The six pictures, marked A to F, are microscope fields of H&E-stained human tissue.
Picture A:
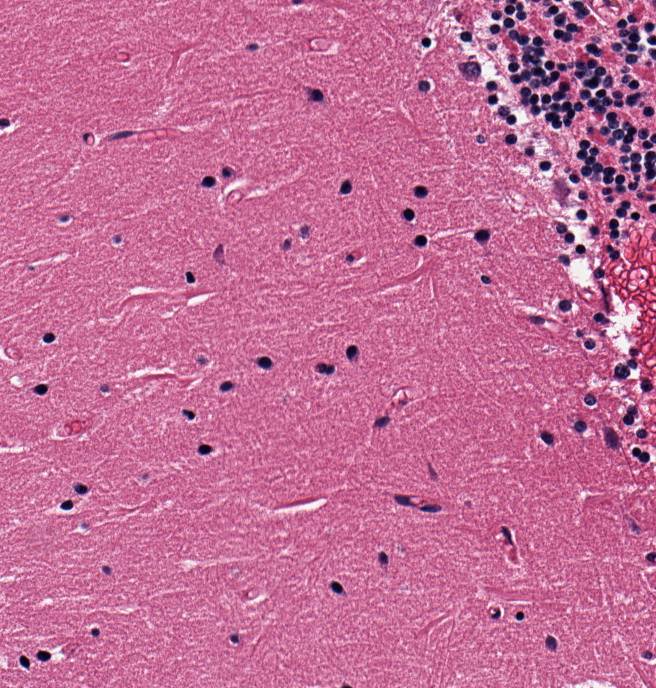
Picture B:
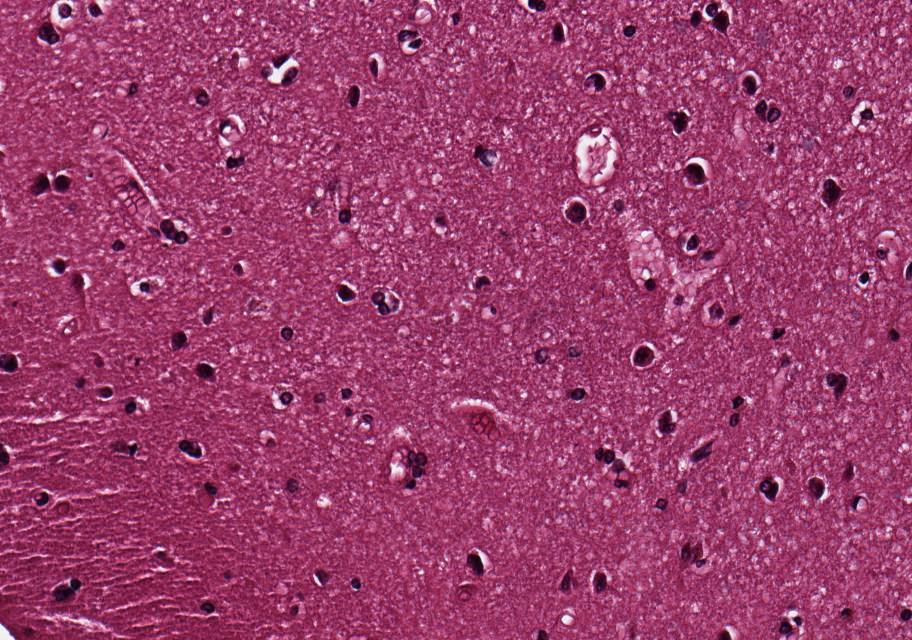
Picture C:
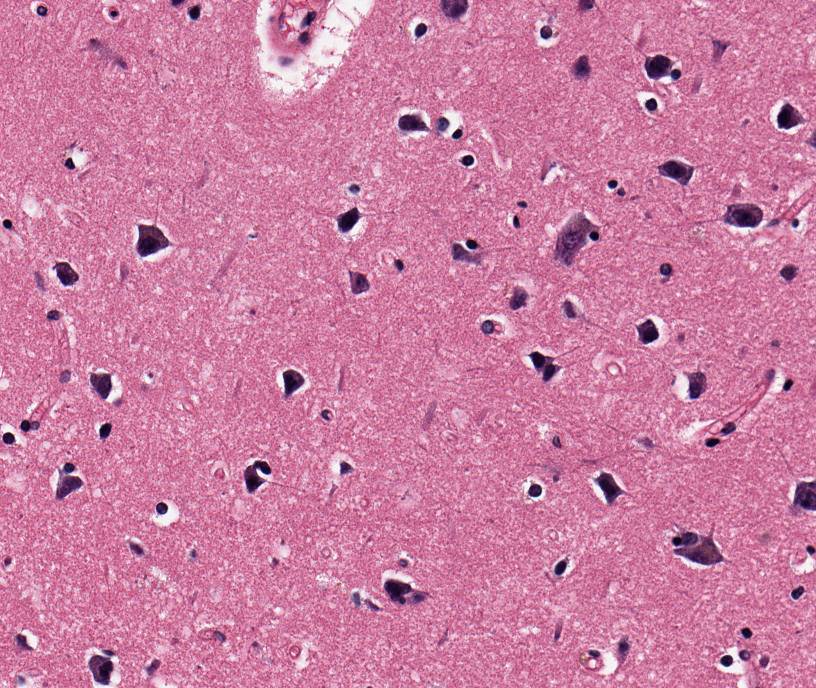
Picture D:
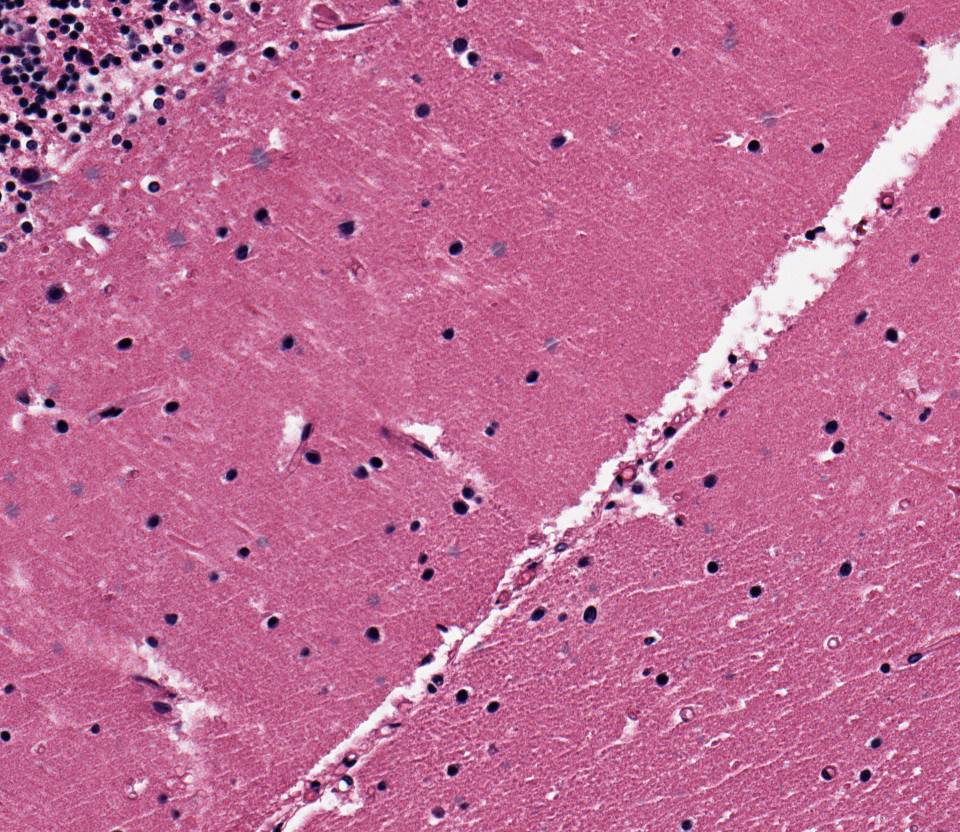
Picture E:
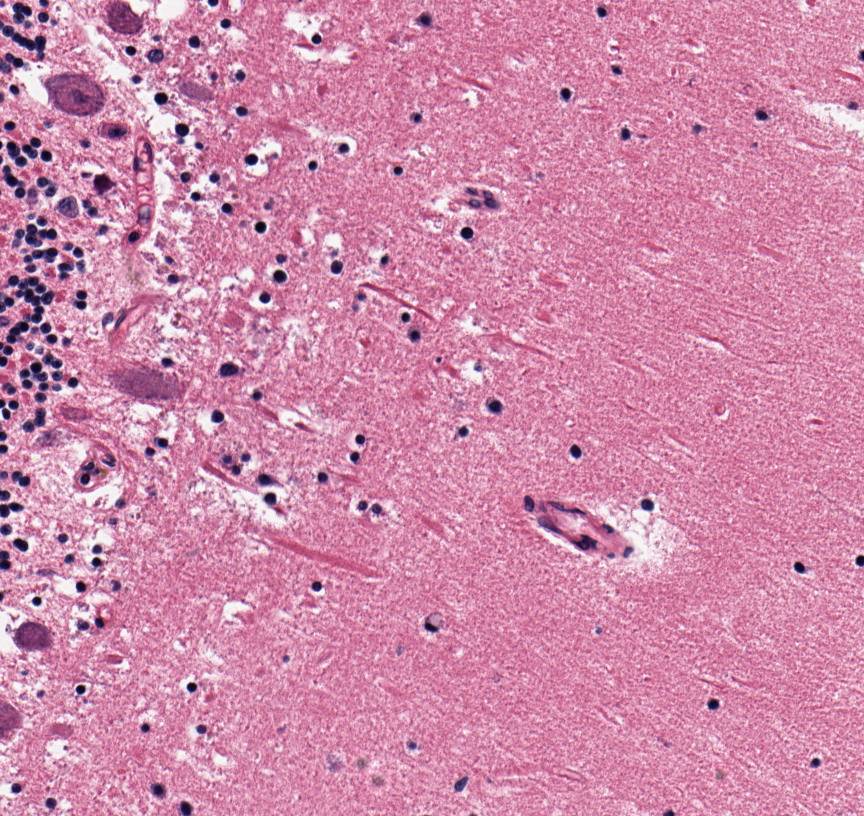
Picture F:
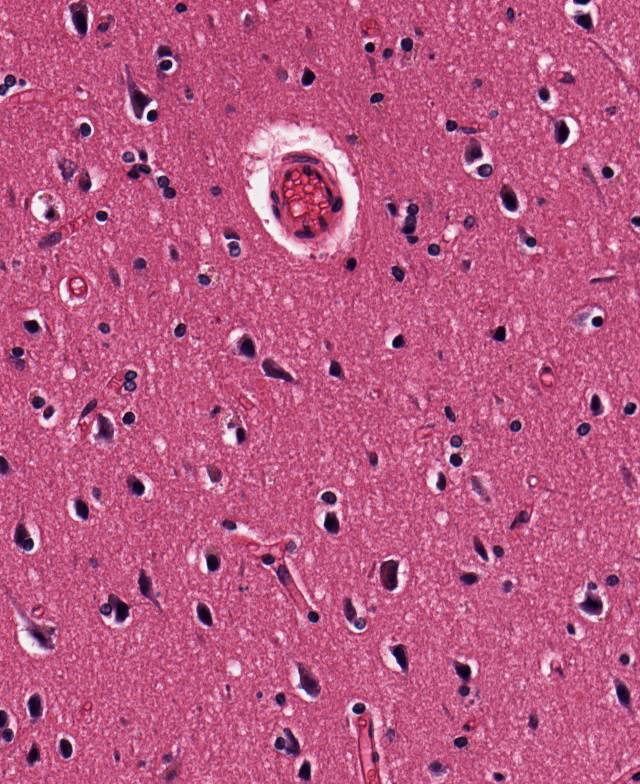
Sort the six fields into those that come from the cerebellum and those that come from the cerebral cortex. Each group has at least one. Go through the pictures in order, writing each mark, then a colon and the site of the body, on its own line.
A: cerebellum
B: cerebral cortex
C: cerebral cortex
D: cerebellum
E: cerebellum
F: cerebral cortex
